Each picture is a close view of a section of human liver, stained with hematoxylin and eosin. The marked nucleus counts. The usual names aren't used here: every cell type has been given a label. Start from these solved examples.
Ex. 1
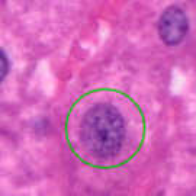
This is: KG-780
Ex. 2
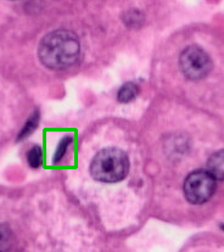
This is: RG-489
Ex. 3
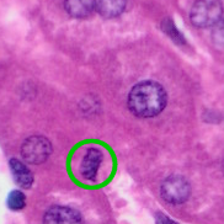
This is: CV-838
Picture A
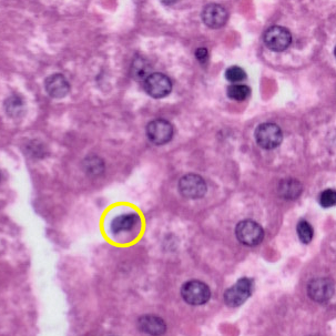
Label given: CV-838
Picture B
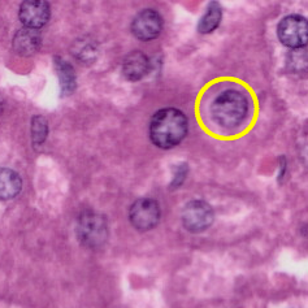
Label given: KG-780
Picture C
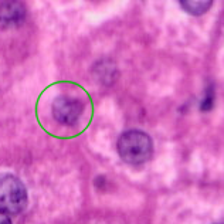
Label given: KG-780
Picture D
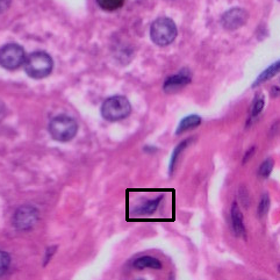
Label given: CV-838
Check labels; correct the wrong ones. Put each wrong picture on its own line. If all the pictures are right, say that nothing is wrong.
A is labelled CV-838; correct label: RG-489
C is labelled KG-780; correct label: RG-489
